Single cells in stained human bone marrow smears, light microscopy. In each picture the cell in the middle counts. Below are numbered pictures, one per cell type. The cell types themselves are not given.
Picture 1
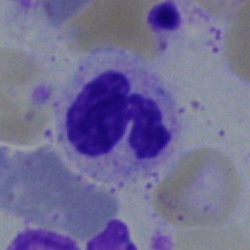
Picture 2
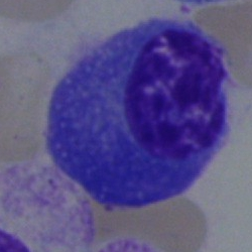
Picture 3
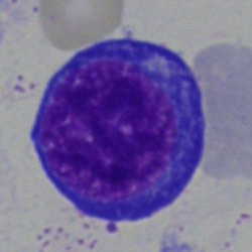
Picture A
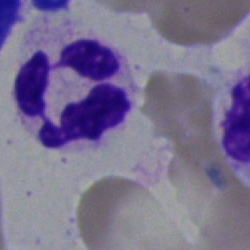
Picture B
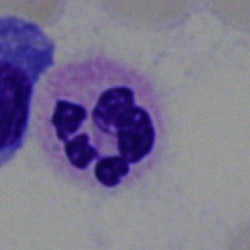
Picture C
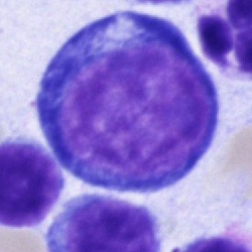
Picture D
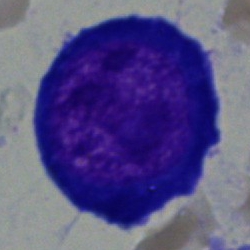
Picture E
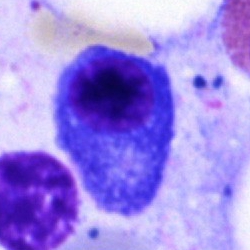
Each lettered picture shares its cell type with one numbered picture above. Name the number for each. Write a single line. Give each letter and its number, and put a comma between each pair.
A 1, B 1, C 3, D 3, E 2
